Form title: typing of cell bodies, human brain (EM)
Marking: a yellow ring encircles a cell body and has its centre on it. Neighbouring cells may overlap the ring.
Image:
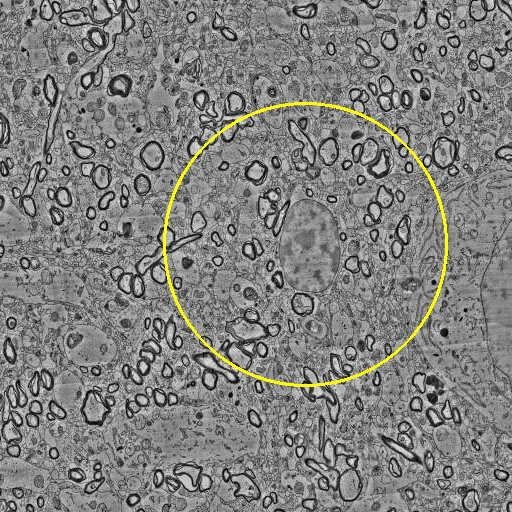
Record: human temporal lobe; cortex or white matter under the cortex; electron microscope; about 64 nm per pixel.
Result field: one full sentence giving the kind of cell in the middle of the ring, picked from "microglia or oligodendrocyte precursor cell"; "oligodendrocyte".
In the picture, the ring is centred on a microglial cell or oligodendrocyte precursor cell, whose cell body it encircles.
